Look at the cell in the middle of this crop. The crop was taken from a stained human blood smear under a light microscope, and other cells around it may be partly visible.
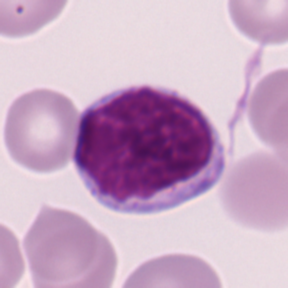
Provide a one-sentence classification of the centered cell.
This crop's central cell is a large granular lymphocyte.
